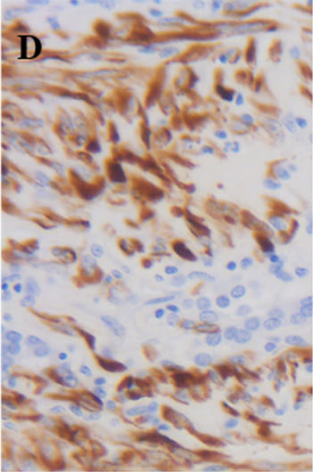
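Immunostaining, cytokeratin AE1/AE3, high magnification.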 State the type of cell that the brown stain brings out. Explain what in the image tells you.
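Brown stain fills the cytoplasm of elongated cells. Stained cells lie in bundles with blue unstained cells between. So: spindle tumour cells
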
